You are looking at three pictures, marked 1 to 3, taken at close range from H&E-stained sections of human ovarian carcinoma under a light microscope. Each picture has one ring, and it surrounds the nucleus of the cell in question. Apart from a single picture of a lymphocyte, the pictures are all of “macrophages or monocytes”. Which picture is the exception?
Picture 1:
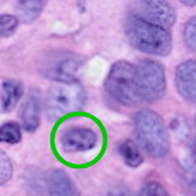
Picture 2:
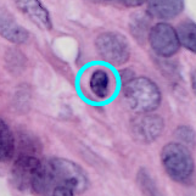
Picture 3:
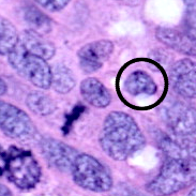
2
